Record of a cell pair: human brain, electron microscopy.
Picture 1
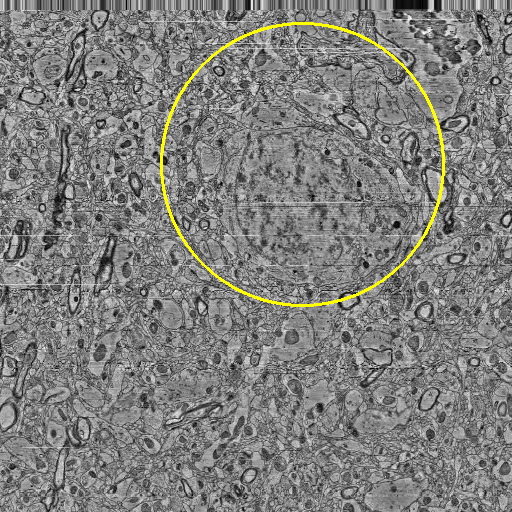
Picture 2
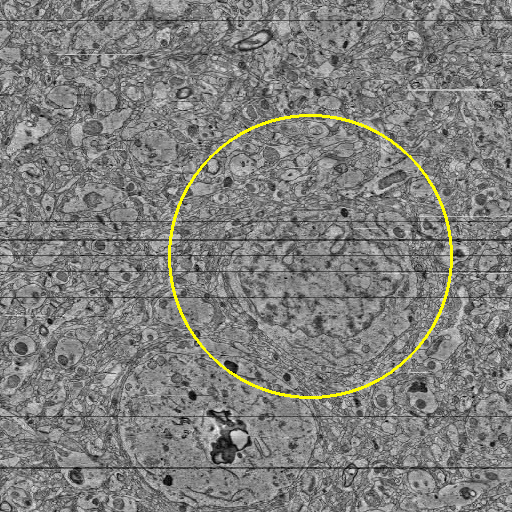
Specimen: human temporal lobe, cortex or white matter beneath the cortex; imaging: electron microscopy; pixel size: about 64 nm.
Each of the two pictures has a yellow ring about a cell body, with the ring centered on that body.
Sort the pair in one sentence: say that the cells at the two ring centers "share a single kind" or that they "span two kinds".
The cells centered in the rings of Pictures 1 and 2 share a single kind.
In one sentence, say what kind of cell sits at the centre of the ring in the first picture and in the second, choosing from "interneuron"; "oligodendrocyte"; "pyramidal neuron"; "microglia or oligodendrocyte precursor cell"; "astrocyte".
The ring centre holds an interneuron in each of the two pictures.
